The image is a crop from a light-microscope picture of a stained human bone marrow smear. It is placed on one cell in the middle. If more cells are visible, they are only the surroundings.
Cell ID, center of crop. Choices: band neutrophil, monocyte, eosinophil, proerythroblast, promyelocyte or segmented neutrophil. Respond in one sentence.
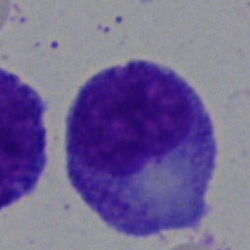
To answer, the cell in the center of the crop is a promyelocyte.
